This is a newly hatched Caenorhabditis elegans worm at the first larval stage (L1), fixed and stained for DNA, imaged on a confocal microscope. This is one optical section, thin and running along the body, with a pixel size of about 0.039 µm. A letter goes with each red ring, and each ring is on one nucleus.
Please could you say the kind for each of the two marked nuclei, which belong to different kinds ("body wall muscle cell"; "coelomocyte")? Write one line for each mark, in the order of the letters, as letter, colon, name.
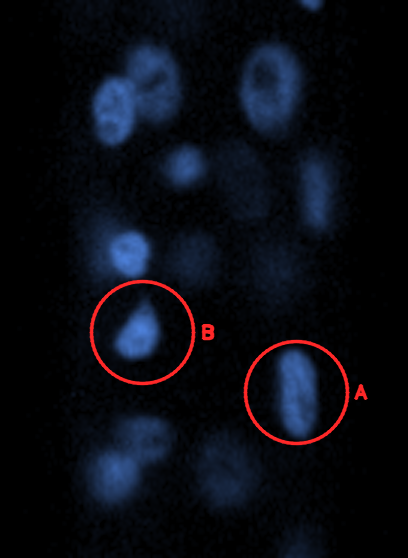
A: body wall muscle cell
B: coelomocyte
